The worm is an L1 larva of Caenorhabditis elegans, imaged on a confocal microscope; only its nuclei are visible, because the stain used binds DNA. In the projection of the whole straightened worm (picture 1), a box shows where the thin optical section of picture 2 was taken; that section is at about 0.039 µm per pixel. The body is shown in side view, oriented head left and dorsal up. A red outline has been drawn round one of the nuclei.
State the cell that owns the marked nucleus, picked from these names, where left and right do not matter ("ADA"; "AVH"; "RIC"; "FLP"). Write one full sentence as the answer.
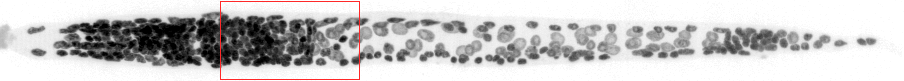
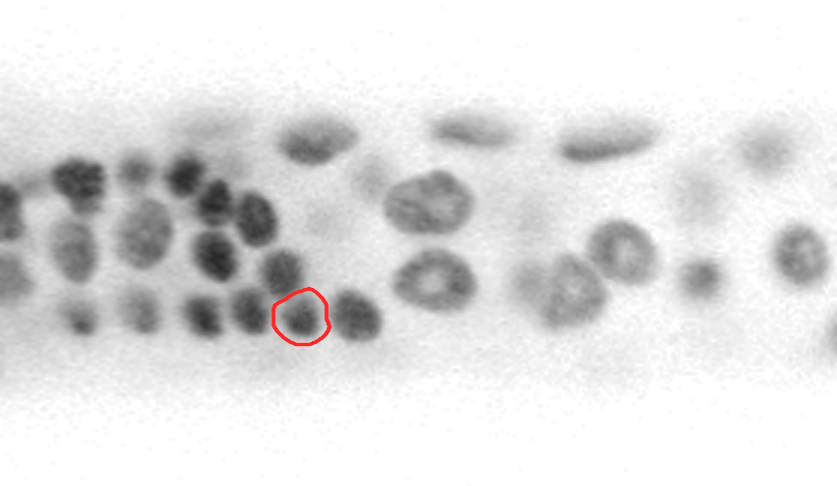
It belongs to ADA, a neuron.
